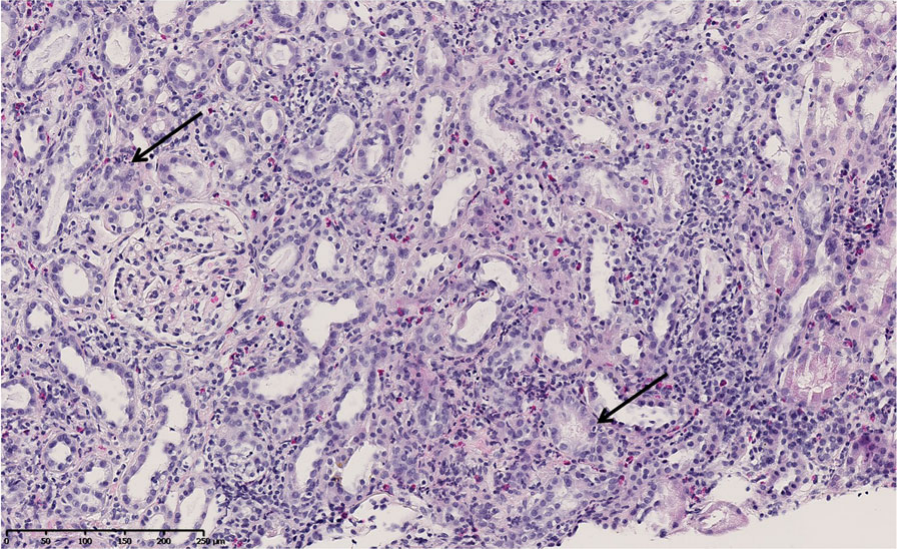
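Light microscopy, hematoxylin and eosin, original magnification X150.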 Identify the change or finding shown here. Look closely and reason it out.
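The spaces between tubules are widened and packed with small dark-nucleated cells. Cells with bright red-pink cytoplasm are scattered through the infiltrate. The infiltrate spreads across most of the field rather than forming a single nodule. The answer: diffuse interstitial inflammation.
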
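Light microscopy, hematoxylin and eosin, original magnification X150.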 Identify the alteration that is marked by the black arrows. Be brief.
Tubular injuries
